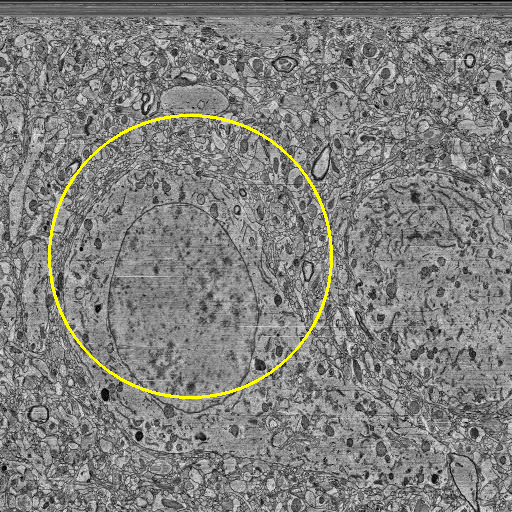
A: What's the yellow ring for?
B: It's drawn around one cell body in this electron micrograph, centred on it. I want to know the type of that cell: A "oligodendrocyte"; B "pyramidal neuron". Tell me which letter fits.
B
